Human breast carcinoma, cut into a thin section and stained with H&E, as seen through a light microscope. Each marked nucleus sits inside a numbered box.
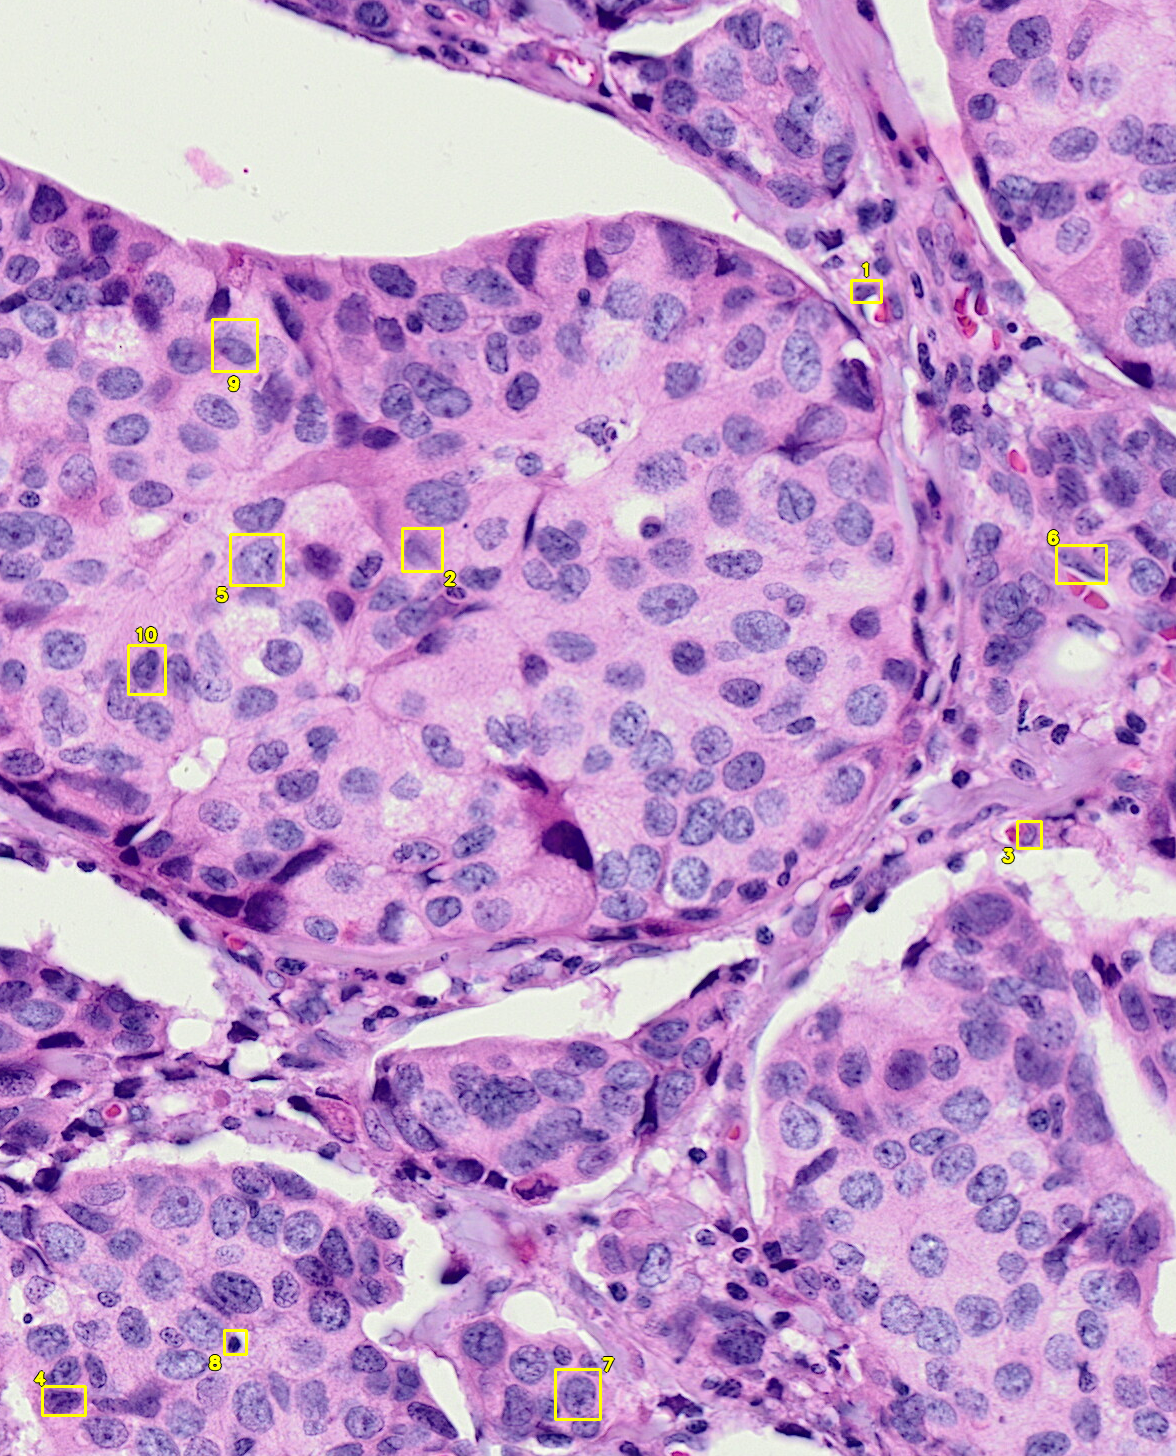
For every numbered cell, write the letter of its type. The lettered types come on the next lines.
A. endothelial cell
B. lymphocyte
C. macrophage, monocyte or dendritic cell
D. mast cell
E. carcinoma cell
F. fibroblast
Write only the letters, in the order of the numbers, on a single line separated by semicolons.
A; E; A; E; E; A; E; B; E; E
